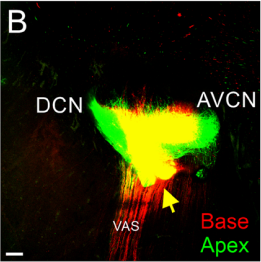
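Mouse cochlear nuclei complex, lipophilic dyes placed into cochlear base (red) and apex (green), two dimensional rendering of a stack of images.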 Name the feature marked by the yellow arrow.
nerve entry points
